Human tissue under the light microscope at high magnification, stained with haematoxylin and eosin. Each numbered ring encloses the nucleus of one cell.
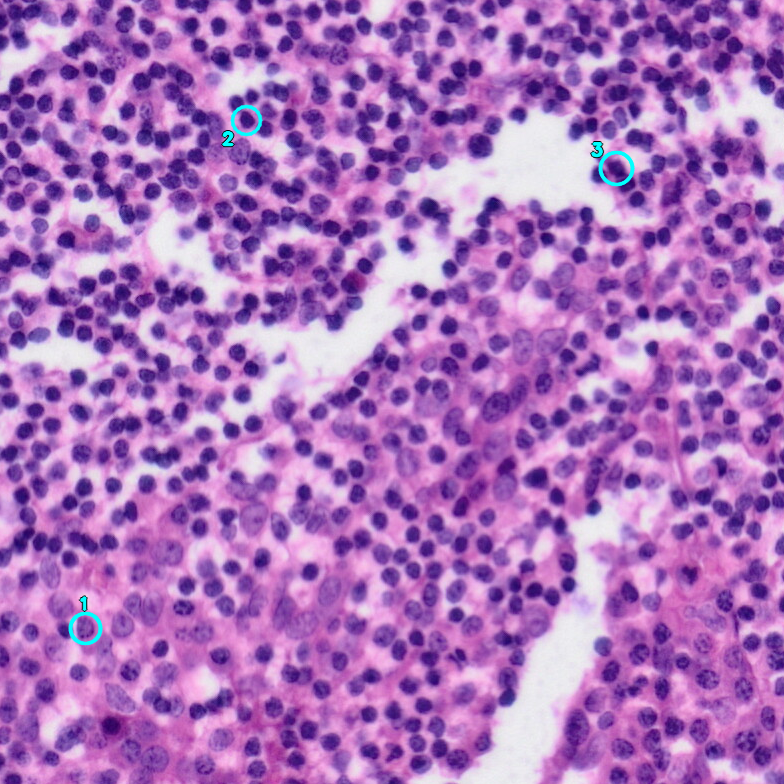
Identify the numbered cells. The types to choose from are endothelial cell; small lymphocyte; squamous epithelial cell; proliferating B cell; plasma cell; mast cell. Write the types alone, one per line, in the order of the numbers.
plasma cell
small lymphocyte
small lymphocyte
